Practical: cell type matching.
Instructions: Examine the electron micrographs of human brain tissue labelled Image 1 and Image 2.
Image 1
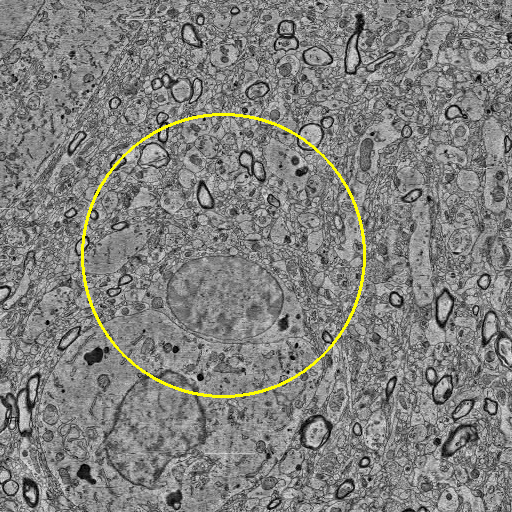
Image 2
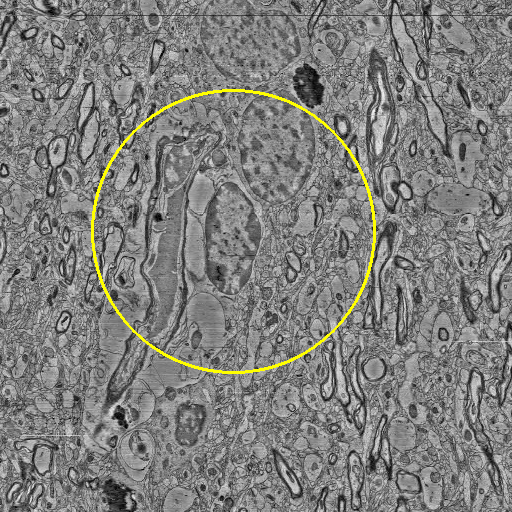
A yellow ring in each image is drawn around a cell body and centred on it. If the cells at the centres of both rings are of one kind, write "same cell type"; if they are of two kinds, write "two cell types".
two cell types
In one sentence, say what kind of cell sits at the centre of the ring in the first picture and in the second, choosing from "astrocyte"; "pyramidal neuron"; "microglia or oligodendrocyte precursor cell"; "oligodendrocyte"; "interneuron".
The first picture's ringed cell is an oligodendrocyte, while the second picture's is a microglial cell or oligodendrocyte precursor cell.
